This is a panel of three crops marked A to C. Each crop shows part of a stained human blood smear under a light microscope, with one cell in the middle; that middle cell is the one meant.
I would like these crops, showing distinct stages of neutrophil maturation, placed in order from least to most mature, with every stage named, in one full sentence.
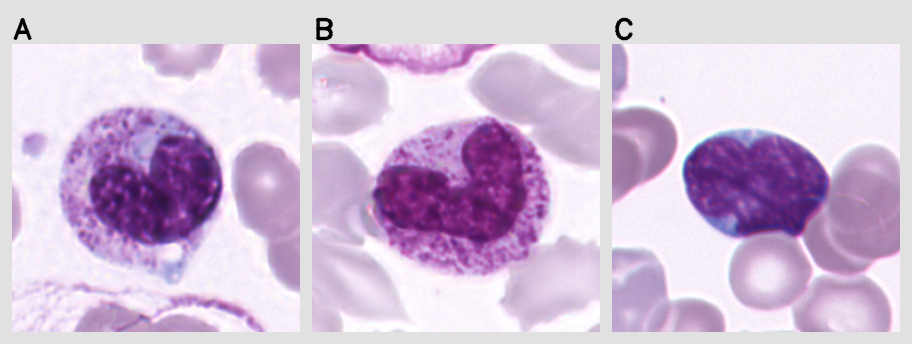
Ordering the crops by maturity, least first, gives crop C (a myeloblast), crop A (a metamyelocyte) and crop B (a band neutrophil).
